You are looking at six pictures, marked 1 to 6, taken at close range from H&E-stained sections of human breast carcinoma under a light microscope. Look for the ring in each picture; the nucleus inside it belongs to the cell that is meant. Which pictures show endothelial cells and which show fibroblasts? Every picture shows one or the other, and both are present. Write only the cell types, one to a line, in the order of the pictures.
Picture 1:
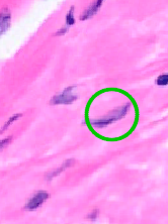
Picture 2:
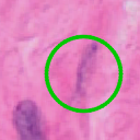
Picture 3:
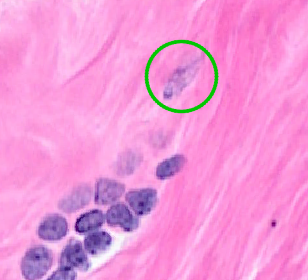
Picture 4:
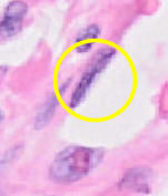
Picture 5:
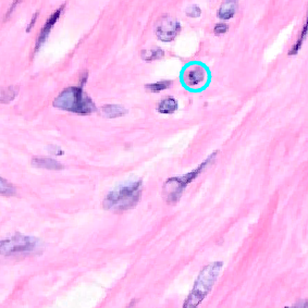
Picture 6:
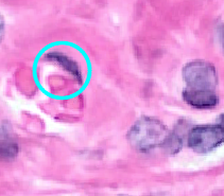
fibroblast
fibroblast
fibroblast
endothelial cell
endothelial cell
endothelial cell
